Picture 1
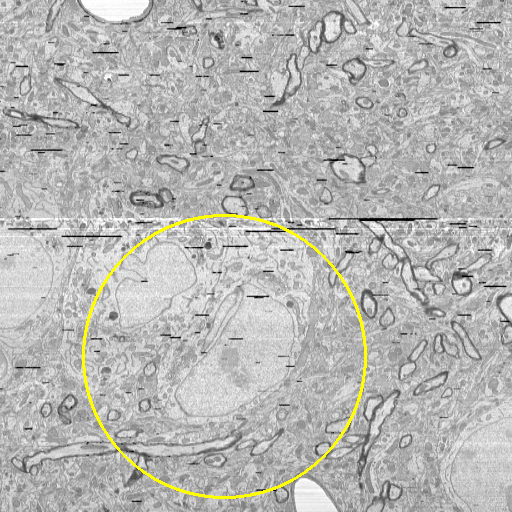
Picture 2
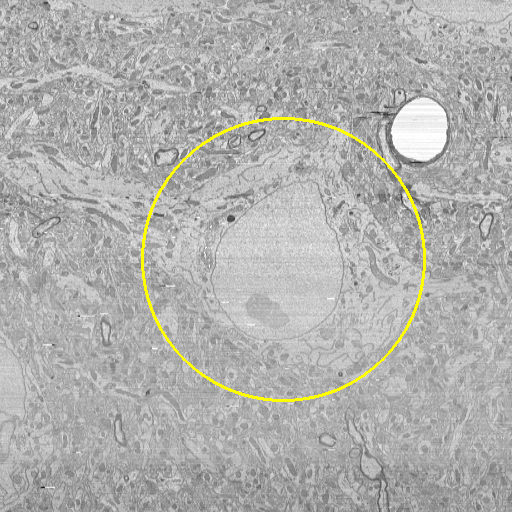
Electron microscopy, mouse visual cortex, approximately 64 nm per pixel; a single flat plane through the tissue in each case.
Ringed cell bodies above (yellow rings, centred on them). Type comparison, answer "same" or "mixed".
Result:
mixed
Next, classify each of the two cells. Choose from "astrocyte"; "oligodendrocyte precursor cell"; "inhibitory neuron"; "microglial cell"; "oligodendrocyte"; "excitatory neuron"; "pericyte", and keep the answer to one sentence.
In the first picture it is an inhibitory neuron; in the second it is an excitatory neuron.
